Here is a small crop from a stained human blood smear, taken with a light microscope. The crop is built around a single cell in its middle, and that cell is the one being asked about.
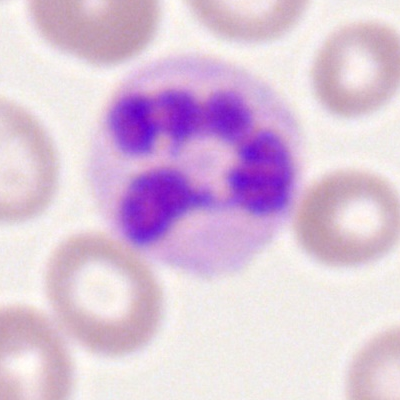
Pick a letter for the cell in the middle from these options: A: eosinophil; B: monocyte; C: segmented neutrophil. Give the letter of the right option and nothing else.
C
